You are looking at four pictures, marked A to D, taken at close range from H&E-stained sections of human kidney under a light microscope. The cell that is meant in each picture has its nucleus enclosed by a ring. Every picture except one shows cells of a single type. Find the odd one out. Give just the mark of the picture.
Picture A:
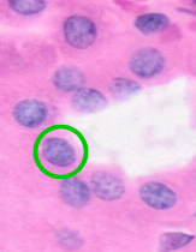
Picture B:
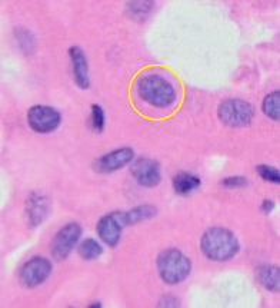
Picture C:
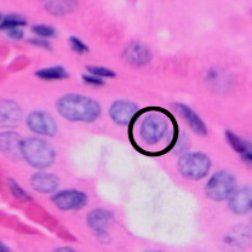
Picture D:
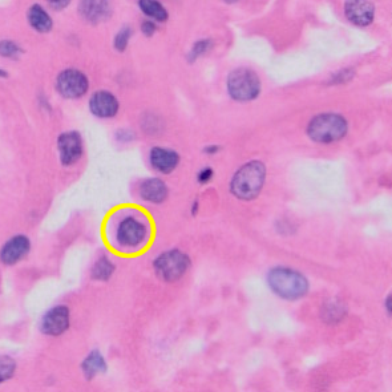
C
